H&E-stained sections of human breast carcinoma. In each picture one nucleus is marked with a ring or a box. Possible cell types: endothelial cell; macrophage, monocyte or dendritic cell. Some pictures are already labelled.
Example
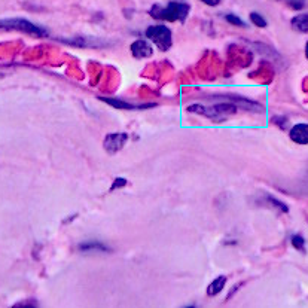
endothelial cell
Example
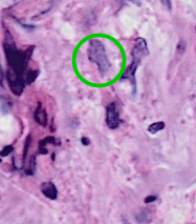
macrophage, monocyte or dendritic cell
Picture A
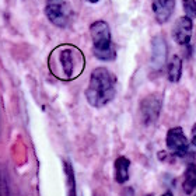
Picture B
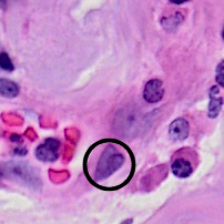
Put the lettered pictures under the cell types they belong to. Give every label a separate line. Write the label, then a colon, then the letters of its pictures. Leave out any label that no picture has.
endothelial cell: B
macrophage, monocyte or dendritic cell: A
